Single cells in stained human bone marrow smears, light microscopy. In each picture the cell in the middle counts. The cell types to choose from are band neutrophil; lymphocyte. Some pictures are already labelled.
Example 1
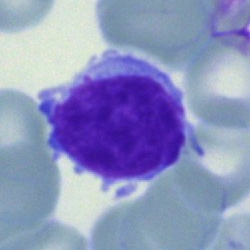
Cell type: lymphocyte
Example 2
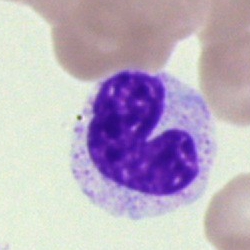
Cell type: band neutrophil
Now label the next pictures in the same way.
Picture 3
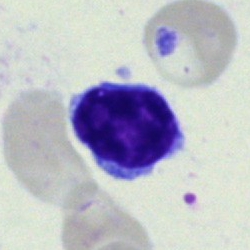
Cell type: lymphocyte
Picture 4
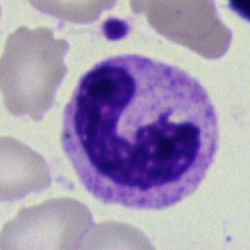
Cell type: band neutrophil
